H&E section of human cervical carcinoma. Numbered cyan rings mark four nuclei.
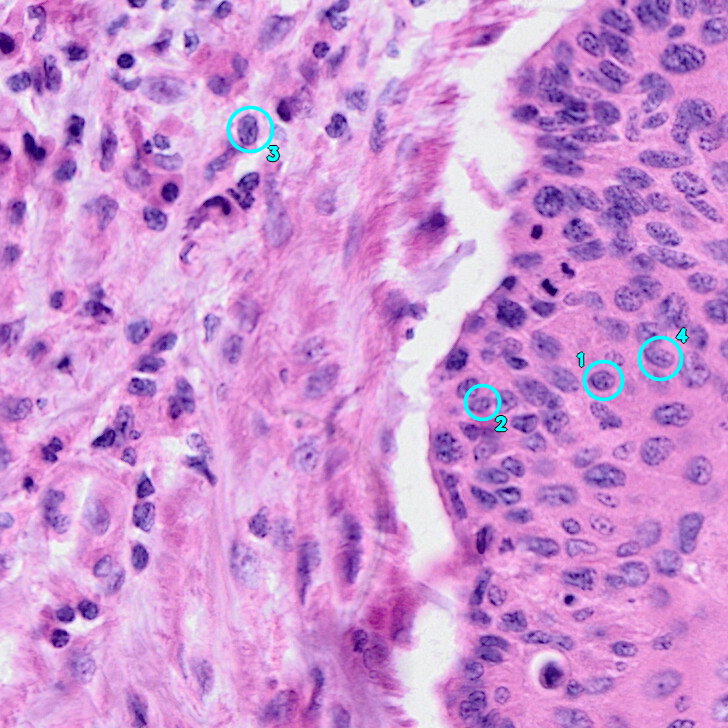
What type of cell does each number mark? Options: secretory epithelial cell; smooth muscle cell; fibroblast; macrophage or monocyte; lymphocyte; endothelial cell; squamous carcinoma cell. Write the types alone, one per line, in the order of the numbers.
squamous carcinoma cell
squamous carcinoma cell
lymphocyte
squamous carcinoma cell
